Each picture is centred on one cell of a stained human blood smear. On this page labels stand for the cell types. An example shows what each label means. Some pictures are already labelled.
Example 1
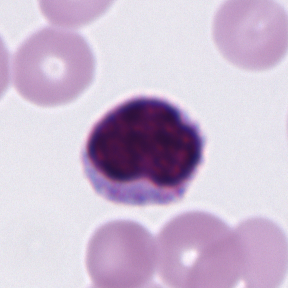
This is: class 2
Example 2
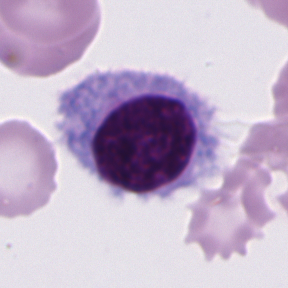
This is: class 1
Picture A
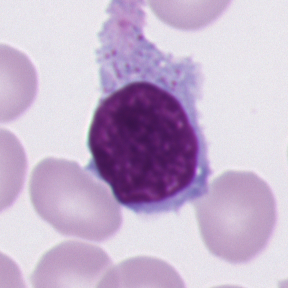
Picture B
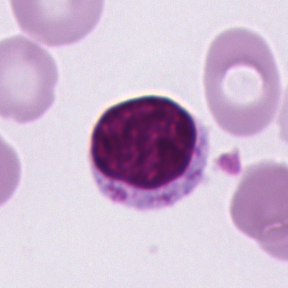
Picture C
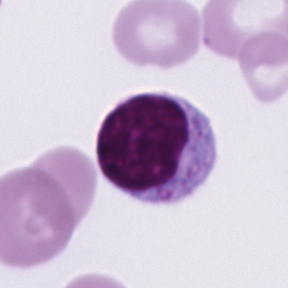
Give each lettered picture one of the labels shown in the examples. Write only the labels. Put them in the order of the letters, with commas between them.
class 2, class 2, class 2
